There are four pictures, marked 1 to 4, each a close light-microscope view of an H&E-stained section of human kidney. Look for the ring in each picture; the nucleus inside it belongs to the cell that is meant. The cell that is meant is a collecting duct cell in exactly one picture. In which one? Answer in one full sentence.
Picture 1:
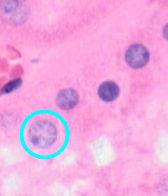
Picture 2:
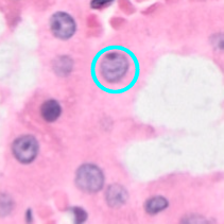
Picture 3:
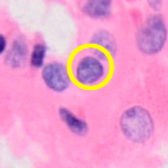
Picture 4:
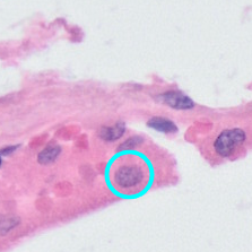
Picture 3 shows the collecting duct cell.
